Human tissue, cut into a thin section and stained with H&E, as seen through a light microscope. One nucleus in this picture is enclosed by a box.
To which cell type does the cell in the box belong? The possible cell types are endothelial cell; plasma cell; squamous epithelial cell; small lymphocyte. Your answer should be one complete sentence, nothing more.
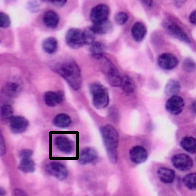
It is as a plasma cell that the cell in the box is recorded.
